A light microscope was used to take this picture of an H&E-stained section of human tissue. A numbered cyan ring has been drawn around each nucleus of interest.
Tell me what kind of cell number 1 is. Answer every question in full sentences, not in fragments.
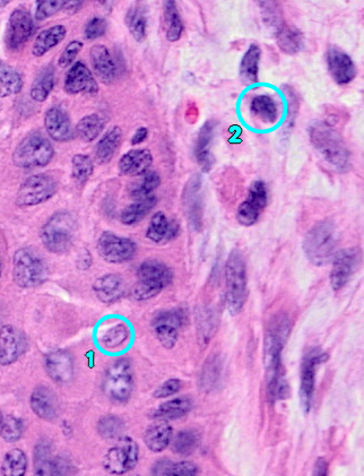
Corresponding to a squamous carcinoma cell is the cell labelled 1.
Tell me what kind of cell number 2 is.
The numbered cell 2 in this field is a lymphocyte.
